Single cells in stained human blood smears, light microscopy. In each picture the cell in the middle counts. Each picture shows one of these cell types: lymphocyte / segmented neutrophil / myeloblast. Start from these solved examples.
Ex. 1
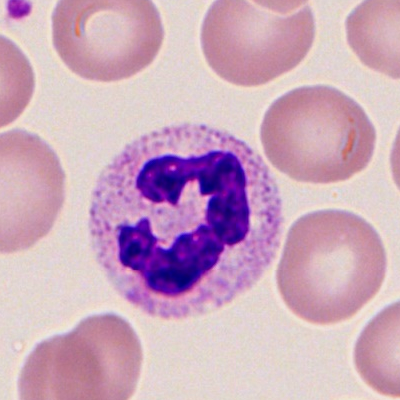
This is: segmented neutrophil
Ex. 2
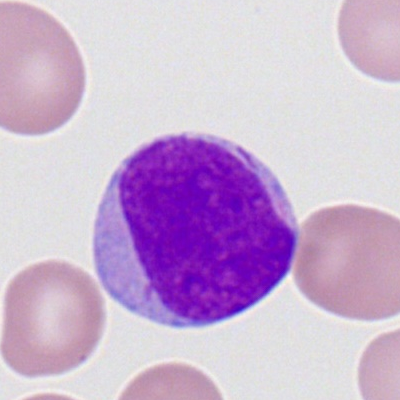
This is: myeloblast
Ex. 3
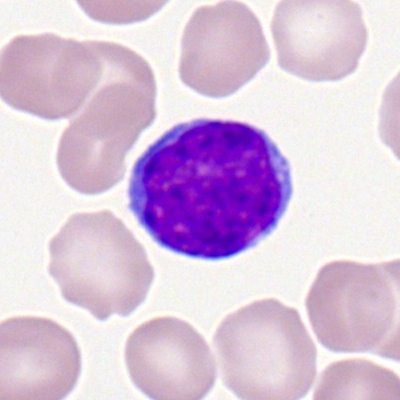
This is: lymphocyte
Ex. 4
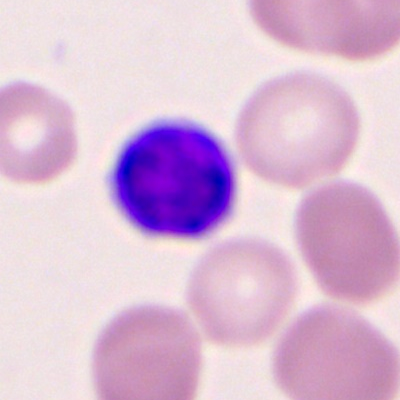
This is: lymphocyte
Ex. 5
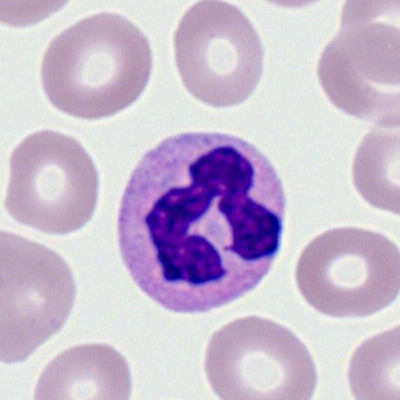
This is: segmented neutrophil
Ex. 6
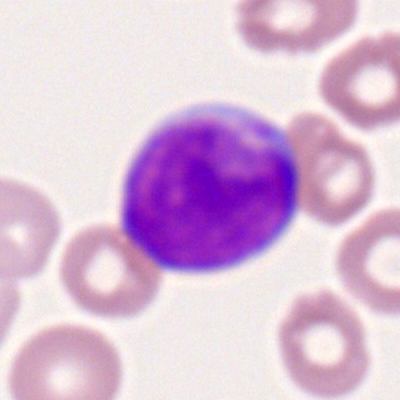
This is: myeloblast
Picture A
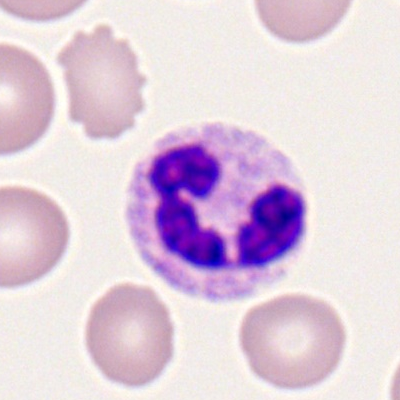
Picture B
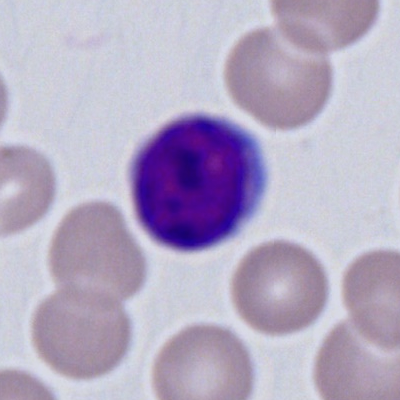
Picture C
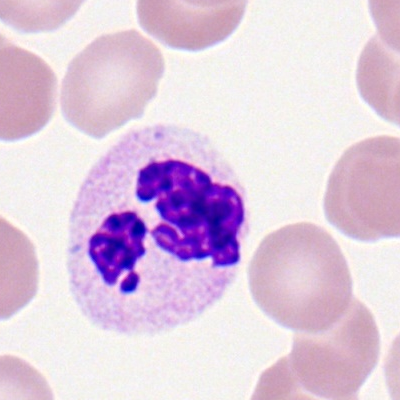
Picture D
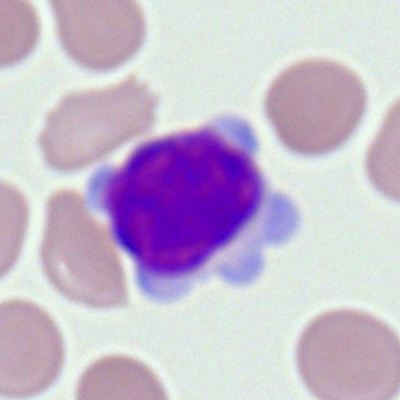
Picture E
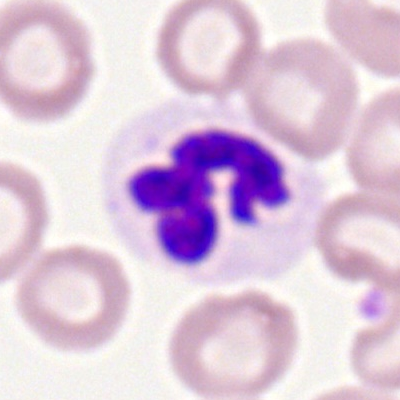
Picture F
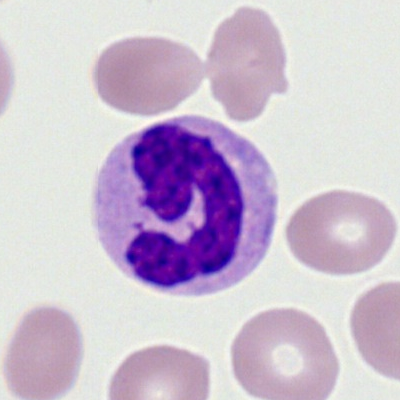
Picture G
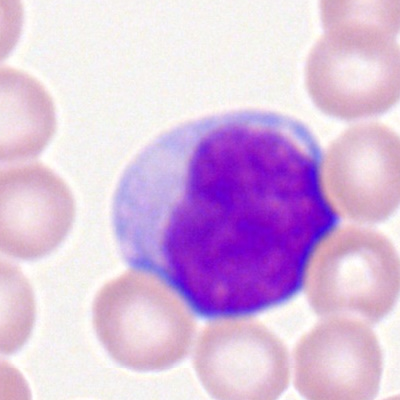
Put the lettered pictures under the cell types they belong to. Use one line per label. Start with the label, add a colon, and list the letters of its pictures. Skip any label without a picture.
lymphocyte: B, D
segmented neutrophil: A, C, E, F
myeloblast: G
